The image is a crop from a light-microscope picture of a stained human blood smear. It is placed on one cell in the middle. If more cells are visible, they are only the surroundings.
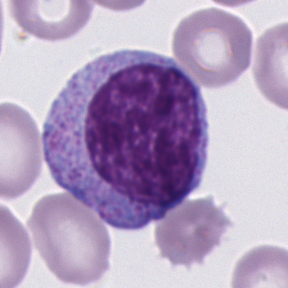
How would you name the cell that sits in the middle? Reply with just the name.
promyelocyte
